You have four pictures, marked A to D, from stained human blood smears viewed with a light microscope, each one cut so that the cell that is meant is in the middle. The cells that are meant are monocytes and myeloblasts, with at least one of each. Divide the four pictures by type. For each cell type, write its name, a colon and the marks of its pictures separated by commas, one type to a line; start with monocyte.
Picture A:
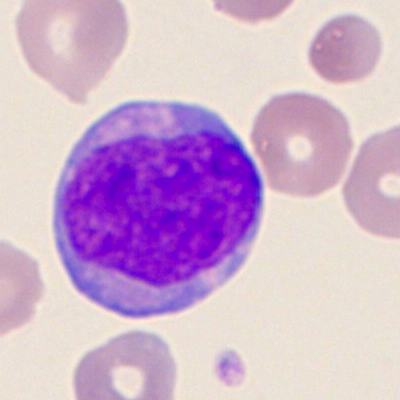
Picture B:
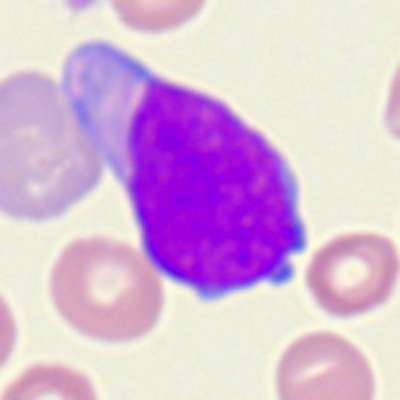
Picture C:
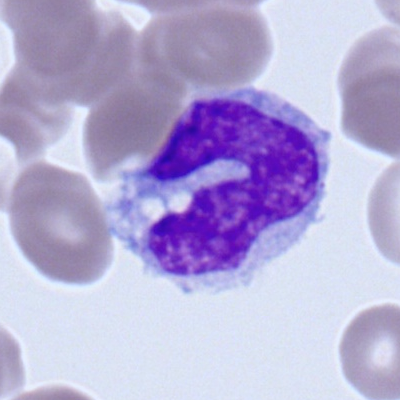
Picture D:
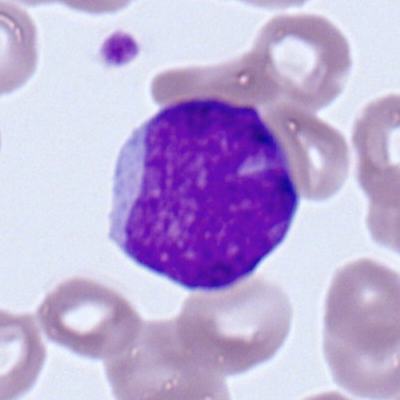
monocyte: C
myeloblast: A, B, D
